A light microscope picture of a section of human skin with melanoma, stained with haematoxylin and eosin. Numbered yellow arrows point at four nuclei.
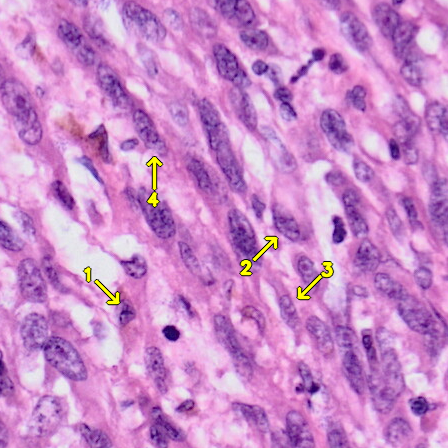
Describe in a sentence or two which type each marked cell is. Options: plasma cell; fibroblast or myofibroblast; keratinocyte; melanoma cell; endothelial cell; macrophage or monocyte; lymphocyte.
Cell 1 is a macrophage or monocyte, cell 2 is a melanoma cell, cell 3 is a melanoma cell and cell 4 is a melanoma cell.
